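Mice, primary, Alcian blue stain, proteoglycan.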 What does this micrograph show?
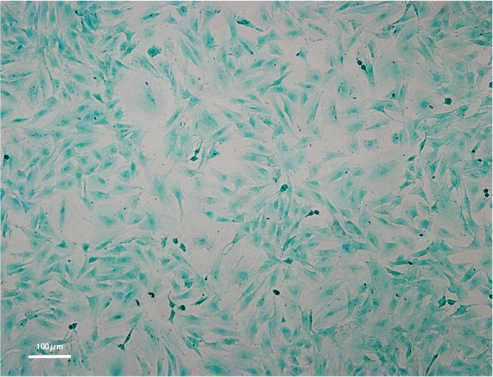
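A dense monolayer of cultured chondrocytes covers the field, stained in pale blue-green. The cells are flattened and spindle-shaped or polygonal, lying close together in loose, swirling arrangements. Their cytoplasm takes up the blue-green stain evenly, with a few darker blue dots scattered among the cells.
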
